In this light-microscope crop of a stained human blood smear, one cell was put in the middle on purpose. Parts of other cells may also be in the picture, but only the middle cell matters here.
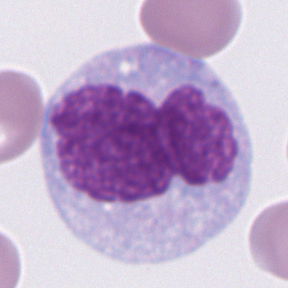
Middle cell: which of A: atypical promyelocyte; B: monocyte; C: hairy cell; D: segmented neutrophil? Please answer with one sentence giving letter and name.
The cell centered in the crop is a monocyte, making option B the correct pick.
